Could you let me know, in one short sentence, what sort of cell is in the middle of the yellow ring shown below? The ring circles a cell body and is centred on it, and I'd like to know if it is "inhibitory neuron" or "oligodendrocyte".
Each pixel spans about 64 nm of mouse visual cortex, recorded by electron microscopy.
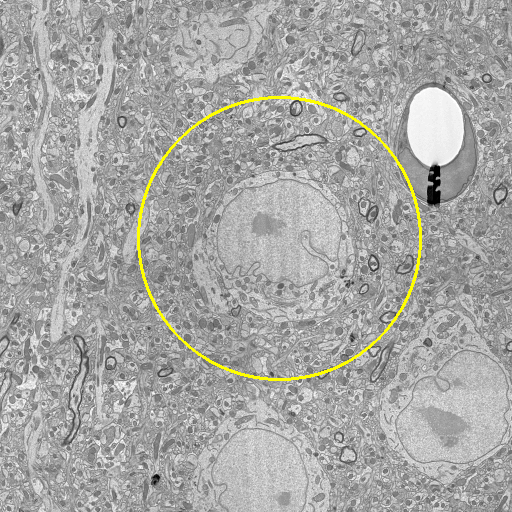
The ring circles the cell body of an inhibitory neuron.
